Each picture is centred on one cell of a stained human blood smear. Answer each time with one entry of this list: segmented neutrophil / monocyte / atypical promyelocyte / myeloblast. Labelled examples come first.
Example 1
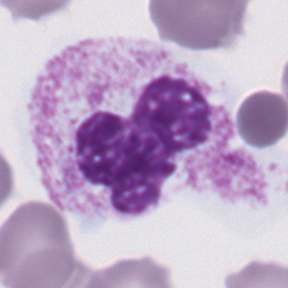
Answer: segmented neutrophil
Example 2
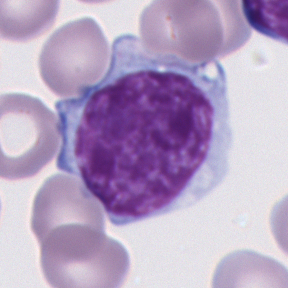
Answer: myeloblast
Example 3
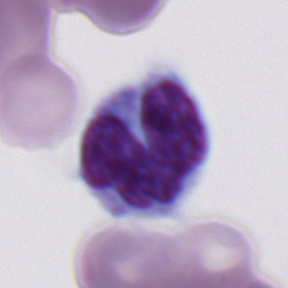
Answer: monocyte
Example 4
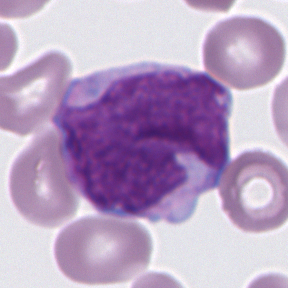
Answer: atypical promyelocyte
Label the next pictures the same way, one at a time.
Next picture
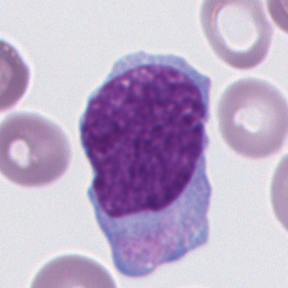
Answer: atypical promyelocyte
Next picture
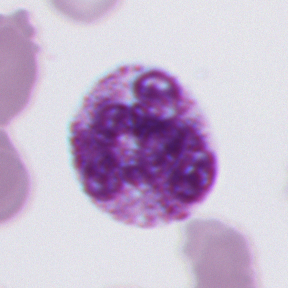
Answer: segmented neutrophil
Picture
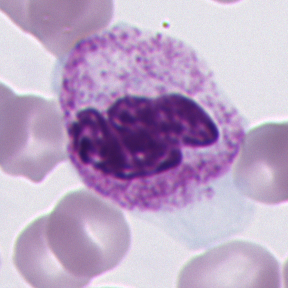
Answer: segmented neutrophil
